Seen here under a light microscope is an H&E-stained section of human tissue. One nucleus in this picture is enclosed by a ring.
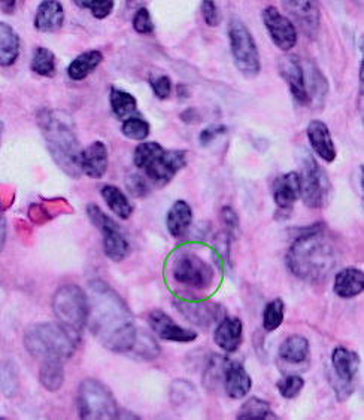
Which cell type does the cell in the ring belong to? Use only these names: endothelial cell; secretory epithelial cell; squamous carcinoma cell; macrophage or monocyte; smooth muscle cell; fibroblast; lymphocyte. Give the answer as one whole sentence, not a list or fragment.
On this particular slide, the cell in the ring is a macrophage or monocyte.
